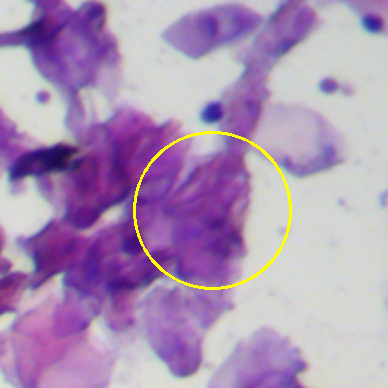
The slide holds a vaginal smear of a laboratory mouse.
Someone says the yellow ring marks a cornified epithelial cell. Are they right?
They are right: it is a cornified epithelial cell.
